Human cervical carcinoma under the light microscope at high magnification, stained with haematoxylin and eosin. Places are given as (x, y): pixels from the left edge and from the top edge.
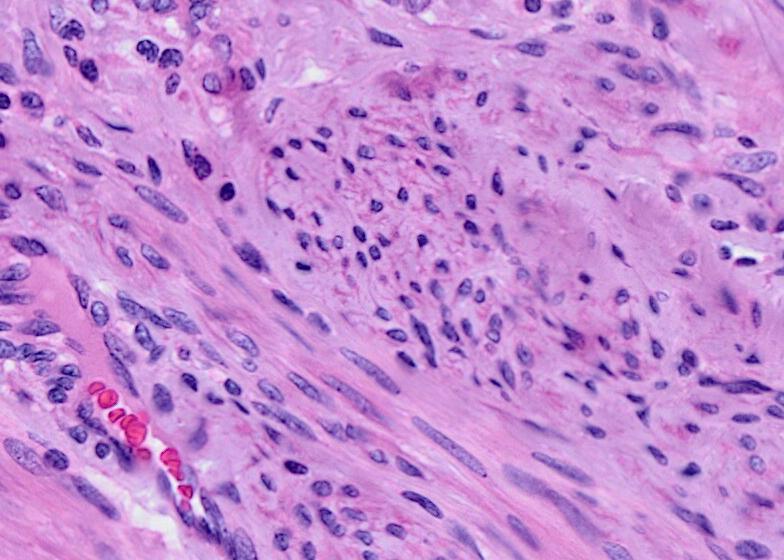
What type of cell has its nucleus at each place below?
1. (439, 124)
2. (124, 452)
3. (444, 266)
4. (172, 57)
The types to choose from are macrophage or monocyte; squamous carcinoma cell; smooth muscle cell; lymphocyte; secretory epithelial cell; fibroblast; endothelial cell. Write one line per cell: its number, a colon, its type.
1: smooth muscle cell
2: endothelial cell
3: smooth muscle cell
4: lymphocyte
